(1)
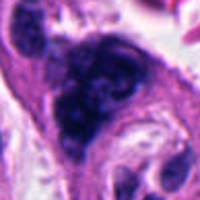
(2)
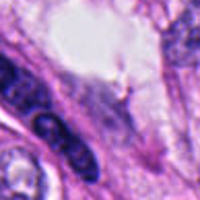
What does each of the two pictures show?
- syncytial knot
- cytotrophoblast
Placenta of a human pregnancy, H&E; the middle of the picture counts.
1. syncytial knot
2. cytotrophoblast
